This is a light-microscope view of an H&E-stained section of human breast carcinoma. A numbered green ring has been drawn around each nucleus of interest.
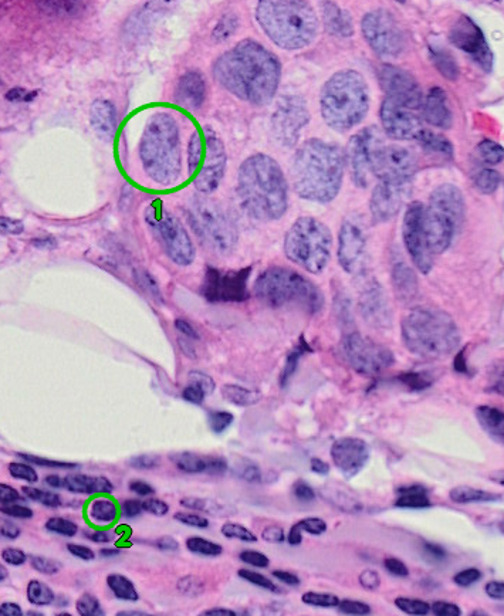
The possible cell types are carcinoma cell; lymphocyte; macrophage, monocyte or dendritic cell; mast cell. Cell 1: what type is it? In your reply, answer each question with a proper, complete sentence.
The cell referred to as 1 is a carcinoma cell.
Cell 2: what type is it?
Cell 2 in the field of view is a lymphocyte.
